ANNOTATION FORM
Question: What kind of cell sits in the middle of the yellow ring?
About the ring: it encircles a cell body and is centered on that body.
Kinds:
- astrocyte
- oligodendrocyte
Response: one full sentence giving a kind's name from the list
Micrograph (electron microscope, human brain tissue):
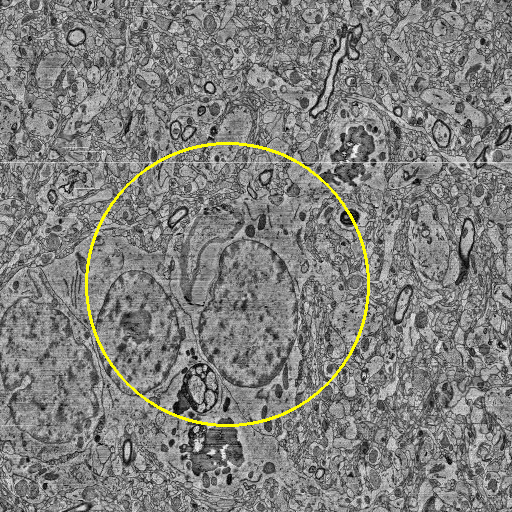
The kind of cell found at the center of the yellow ring in the micrograph is an astrocyte.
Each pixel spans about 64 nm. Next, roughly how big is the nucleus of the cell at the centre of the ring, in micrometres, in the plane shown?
The ringed cell's nucleus is about 10 micrometres long and 6 micrometres wide in this plane.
